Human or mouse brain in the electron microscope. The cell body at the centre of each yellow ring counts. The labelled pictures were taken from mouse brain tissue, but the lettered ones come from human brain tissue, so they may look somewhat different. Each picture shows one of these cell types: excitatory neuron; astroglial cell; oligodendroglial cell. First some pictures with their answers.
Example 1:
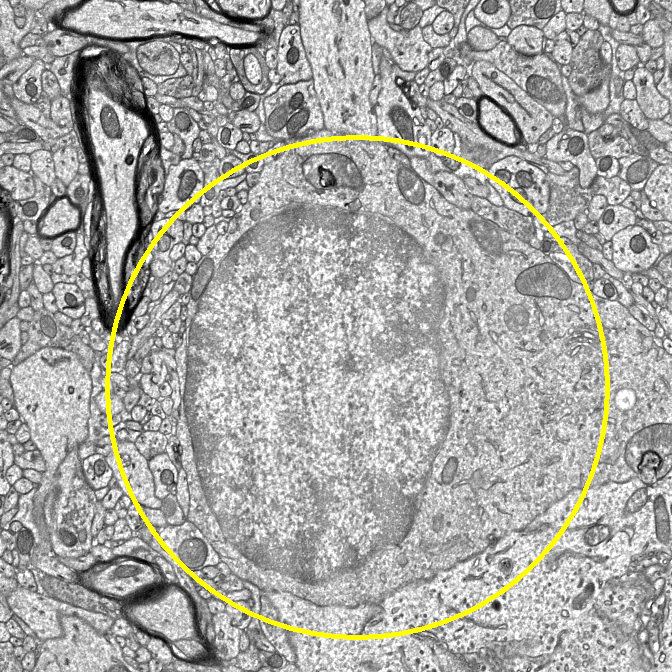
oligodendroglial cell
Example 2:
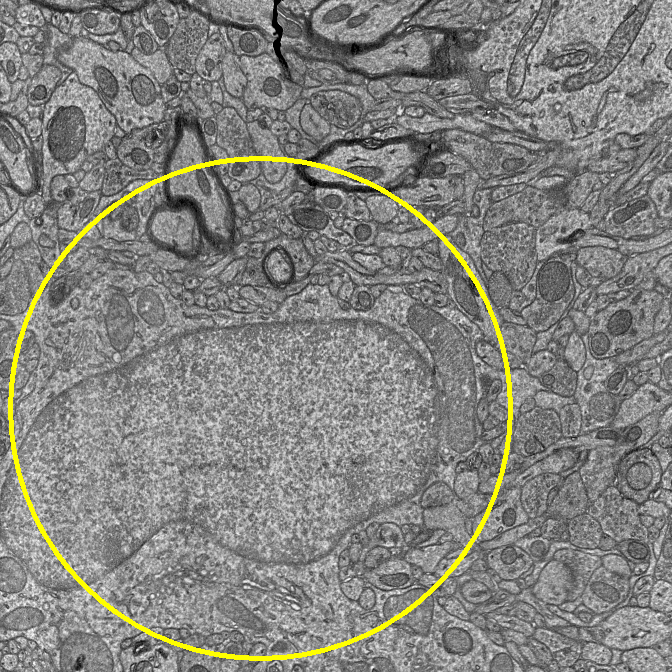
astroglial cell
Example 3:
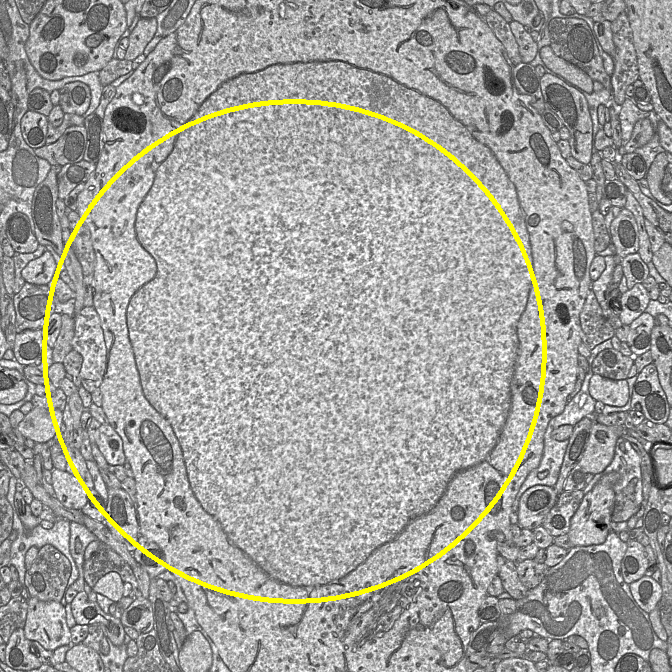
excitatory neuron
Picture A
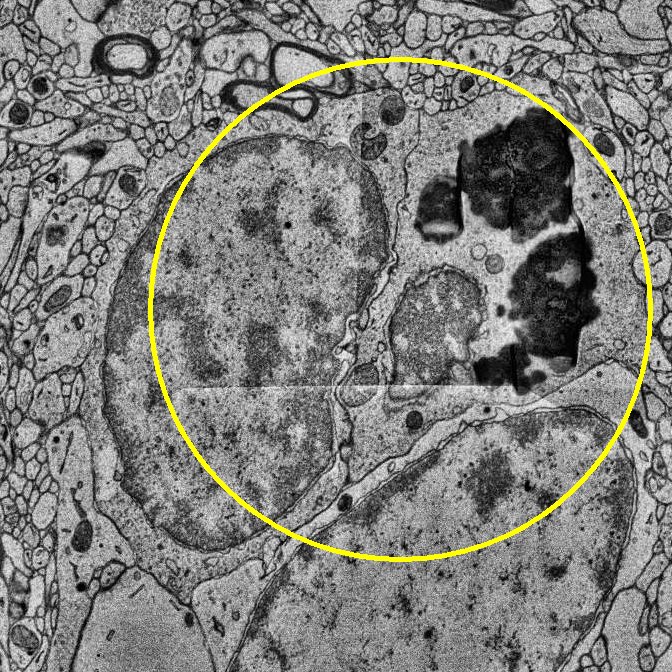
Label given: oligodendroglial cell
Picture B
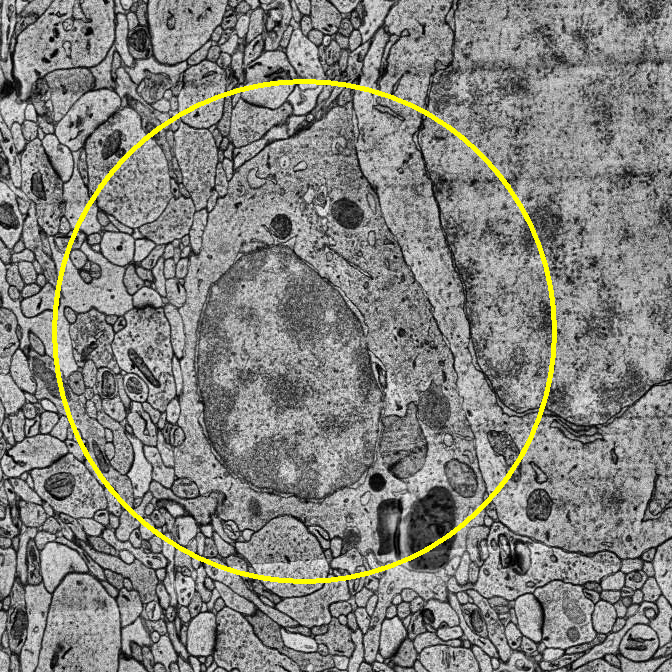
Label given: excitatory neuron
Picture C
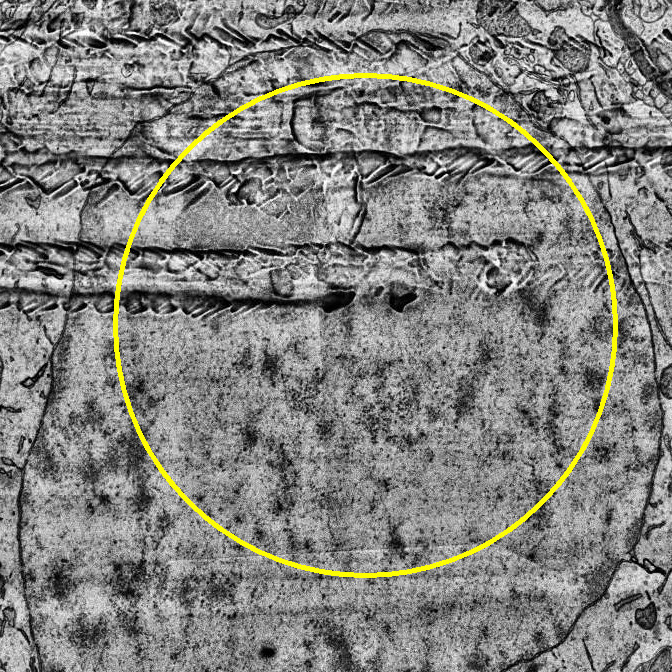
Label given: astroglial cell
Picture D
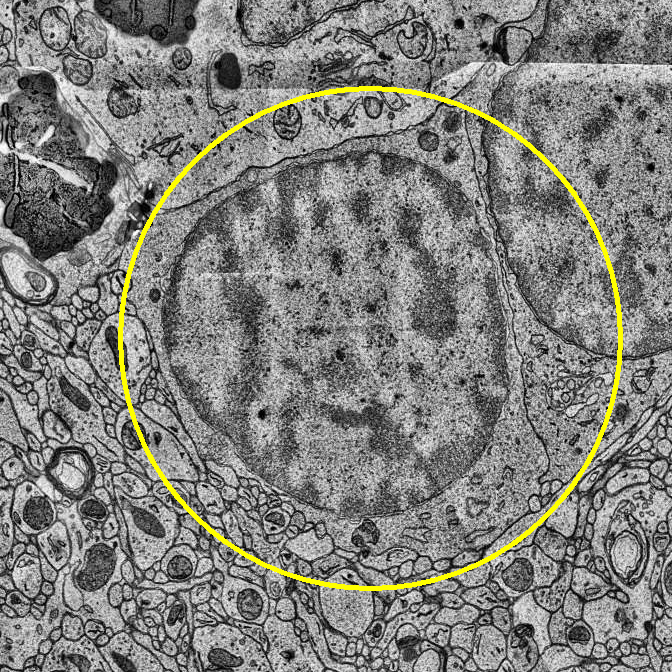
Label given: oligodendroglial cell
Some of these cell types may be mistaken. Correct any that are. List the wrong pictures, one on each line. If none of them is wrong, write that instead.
B should be oligodendroglial cell, not excitatory neuron
C should be excitatory neuron, not astroglial cell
